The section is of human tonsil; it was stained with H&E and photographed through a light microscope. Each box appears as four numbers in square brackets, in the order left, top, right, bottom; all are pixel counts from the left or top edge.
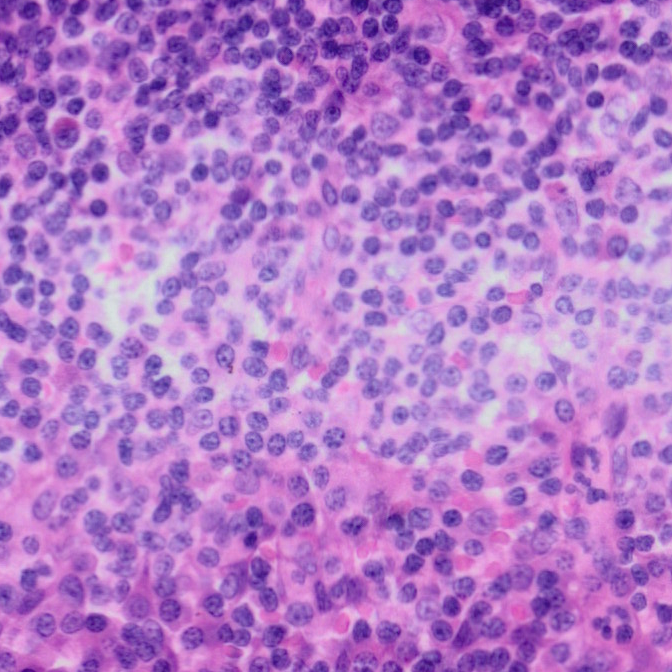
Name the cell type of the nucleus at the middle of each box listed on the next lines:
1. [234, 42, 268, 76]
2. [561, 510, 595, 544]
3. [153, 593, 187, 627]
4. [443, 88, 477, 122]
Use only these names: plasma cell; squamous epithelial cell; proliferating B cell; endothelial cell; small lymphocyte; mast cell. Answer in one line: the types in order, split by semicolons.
small lymphocyte; endothelial cell; plasma cell; small lymphocyte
